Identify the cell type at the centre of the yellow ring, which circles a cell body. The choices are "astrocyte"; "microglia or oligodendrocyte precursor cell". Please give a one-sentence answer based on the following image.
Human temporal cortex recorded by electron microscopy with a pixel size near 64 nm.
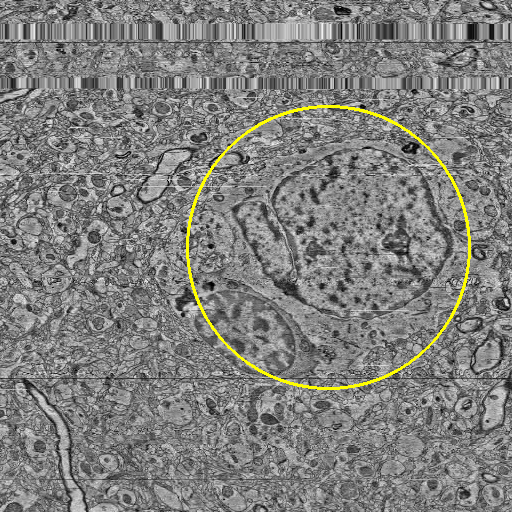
The cell marked by the ring is a microglial cell or oligodendrocyte precursor cell.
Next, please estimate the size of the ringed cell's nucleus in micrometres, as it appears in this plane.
In this plane the nucleus is about 12 micrometres across.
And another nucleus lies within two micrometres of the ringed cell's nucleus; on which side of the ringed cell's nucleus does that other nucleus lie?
The second nucleus sits to the lower left of it.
